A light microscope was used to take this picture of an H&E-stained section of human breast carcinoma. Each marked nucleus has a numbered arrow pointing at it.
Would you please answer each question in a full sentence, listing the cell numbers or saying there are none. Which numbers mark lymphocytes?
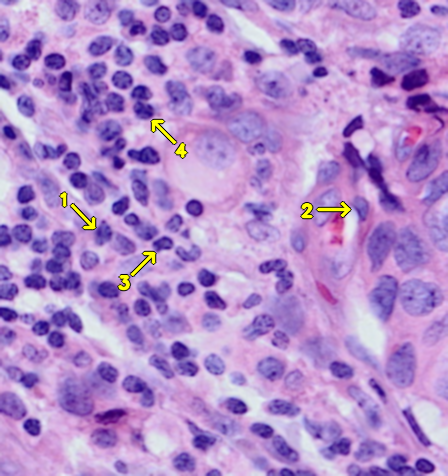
The cells marked by the numbers 1, 3 and 4 are lymphocytes.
